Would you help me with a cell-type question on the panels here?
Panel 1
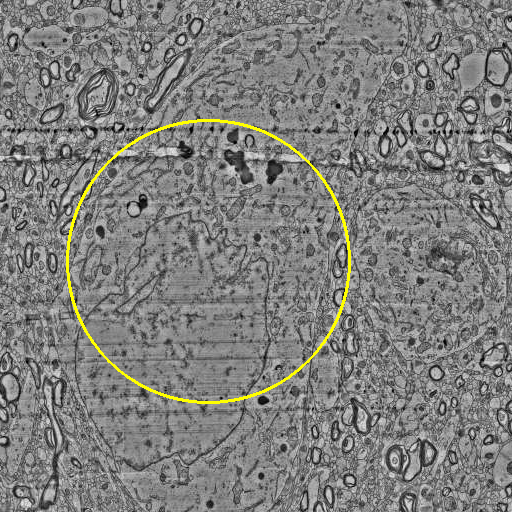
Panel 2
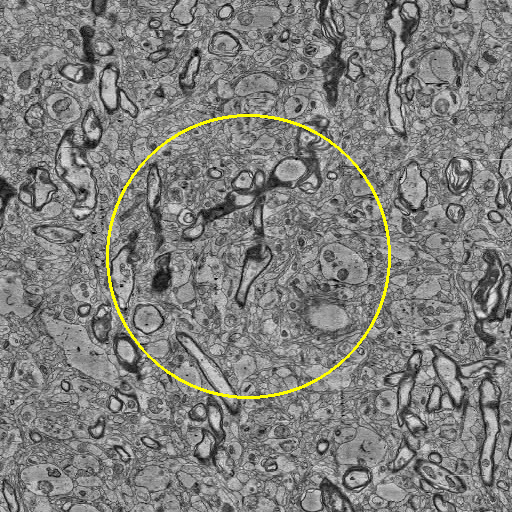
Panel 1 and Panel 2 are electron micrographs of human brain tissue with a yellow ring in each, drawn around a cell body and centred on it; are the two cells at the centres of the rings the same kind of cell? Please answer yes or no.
no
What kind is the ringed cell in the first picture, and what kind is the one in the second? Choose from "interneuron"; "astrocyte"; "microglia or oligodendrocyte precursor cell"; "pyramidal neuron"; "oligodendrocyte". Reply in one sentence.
The first cell is a pyramidal neuron; the second is an oligodendrocyte.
